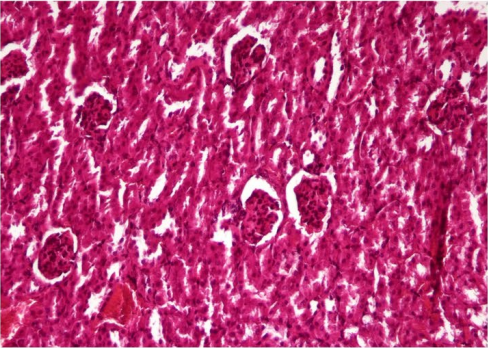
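Scattered through the field are several glomeruli: round tufts packed with dark purple nuclei, each sitting in a capsule and separated from it by a thin, clear crescent of space. Around them the tissue is filled with closely packed tubules cut in various planes, their walls made of cells with pink cytoplasm and small dark nuclei, leaving only narrow slit-like lumens between them. Near the lower left a blood vessel holds bright red blood. The arrangement is orderly and compact, without large empty spaces.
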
